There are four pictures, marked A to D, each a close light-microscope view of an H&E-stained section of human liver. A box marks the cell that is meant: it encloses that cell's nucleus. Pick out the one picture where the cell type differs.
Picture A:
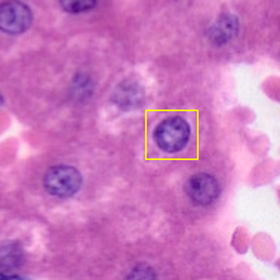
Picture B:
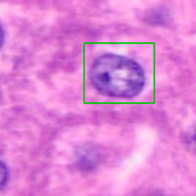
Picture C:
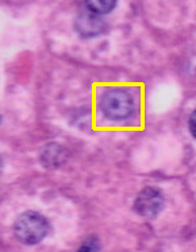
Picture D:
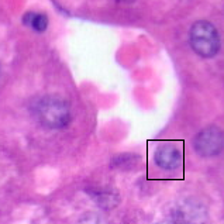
D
